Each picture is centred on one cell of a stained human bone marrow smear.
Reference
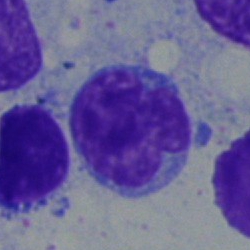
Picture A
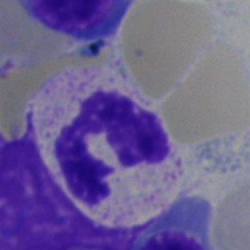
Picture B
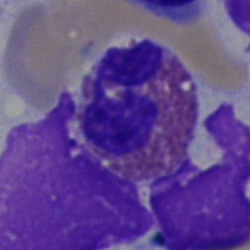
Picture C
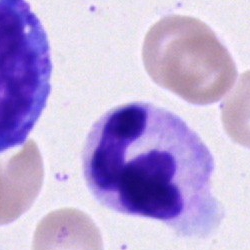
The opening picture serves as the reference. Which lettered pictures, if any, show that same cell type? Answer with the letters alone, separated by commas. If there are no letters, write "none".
none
